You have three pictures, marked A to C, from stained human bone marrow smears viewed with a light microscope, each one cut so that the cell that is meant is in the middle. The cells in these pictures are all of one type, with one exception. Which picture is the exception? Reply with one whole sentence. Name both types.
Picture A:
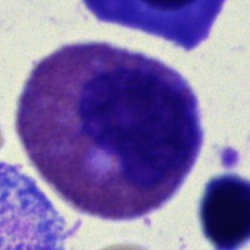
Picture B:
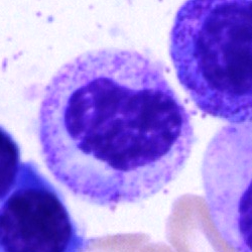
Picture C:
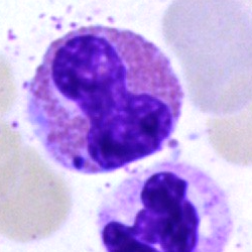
Unlike the rest, which show eosinophils, picture B shows a metamyelocyte.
